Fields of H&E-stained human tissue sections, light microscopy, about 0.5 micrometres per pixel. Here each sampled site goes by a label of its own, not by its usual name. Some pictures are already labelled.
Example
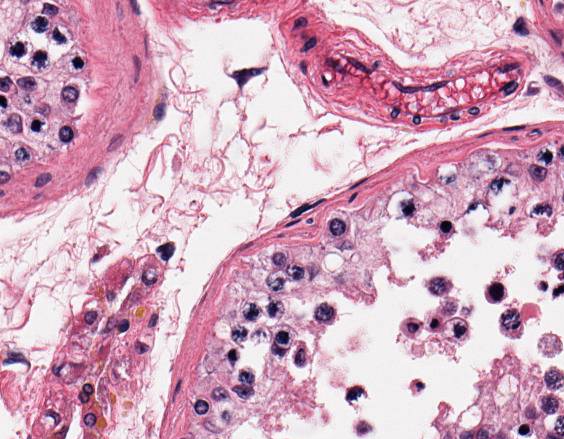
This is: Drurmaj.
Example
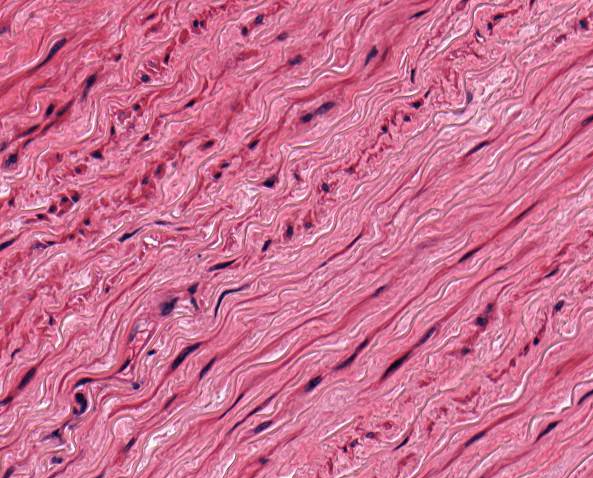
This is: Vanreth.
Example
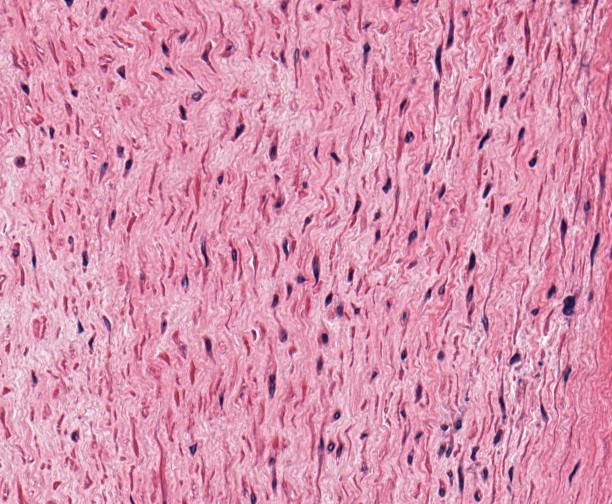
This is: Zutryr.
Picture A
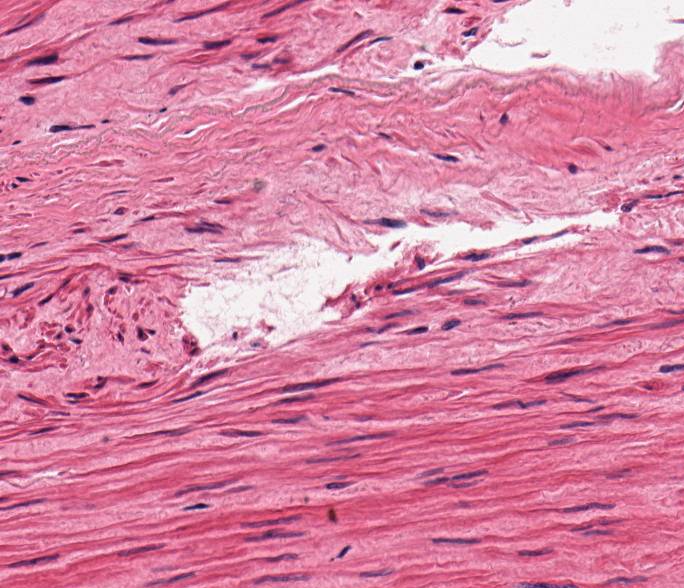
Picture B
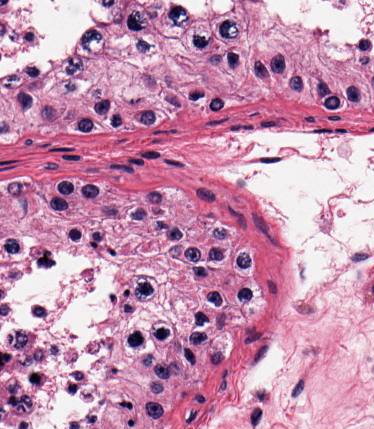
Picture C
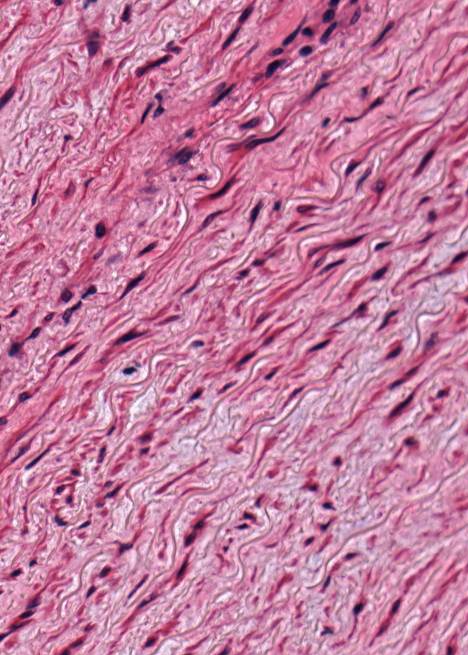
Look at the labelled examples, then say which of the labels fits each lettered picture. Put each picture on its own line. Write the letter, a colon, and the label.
A: Zutryr.
B: Drurmaj.
C: Vanreth.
